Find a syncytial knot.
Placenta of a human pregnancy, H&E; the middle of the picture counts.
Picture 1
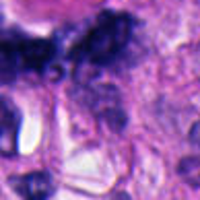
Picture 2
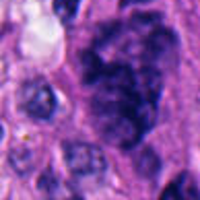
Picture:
2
